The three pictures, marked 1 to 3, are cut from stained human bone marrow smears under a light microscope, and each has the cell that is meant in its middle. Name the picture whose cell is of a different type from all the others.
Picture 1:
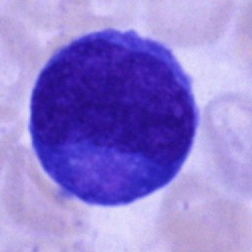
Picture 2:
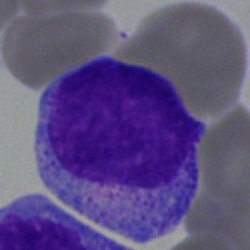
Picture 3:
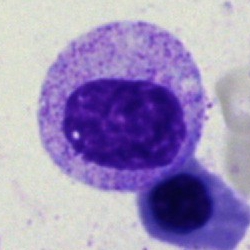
3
